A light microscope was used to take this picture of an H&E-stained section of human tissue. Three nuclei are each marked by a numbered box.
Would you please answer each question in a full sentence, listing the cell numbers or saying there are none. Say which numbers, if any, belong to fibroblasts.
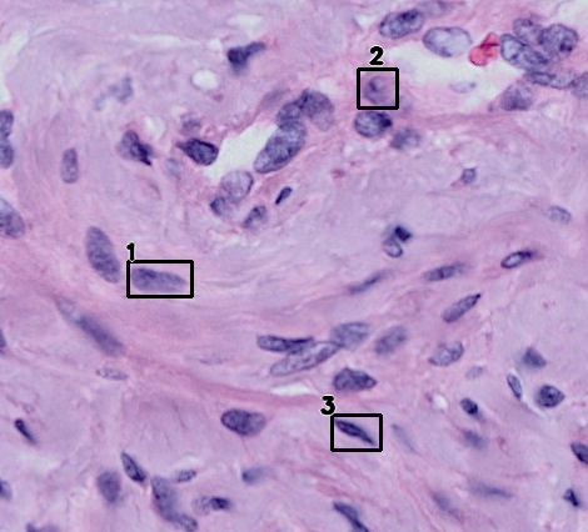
Identified as fibroblasts are the cells numbered 1 and 3.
